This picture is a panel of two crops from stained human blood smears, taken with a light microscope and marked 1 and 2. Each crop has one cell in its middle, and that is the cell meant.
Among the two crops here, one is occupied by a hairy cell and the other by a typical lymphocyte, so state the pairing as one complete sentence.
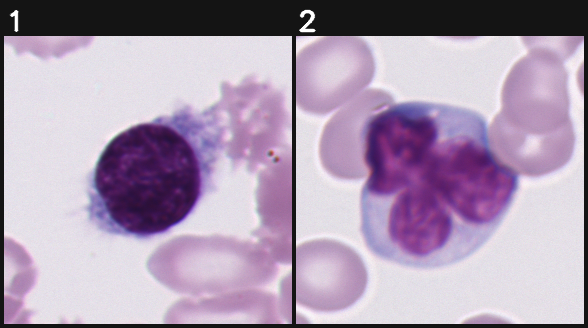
In crop 1 there is a hairy cell, and in crop 2 there is a typical lymphocyte.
